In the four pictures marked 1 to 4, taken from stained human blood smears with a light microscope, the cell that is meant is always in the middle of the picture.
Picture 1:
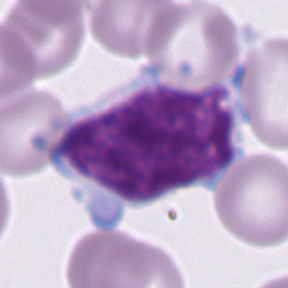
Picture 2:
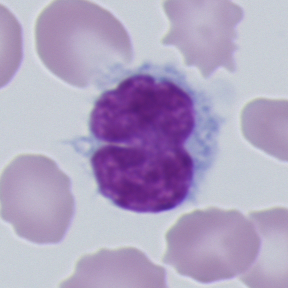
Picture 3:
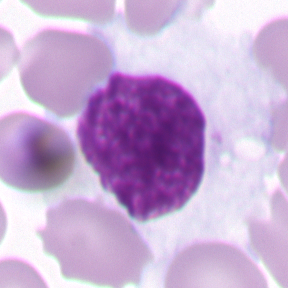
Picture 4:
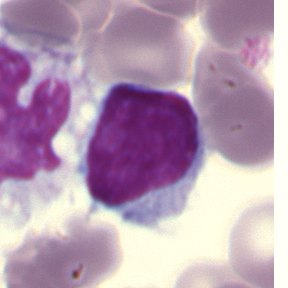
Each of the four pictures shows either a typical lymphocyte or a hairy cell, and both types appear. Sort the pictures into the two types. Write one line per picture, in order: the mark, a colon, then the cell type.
1: typical lymphocyte
2: hairy cell
3: hairy cell
4: typical lymphocyte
